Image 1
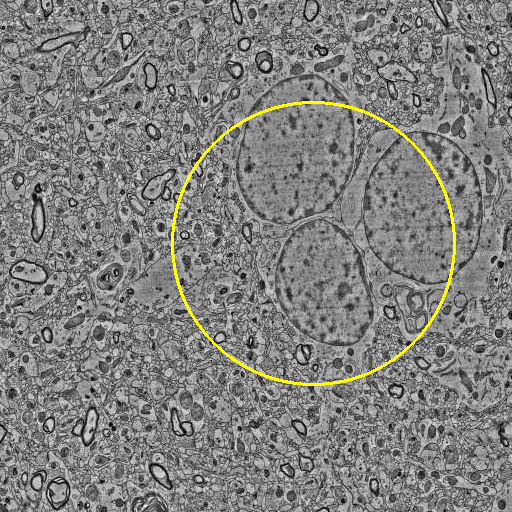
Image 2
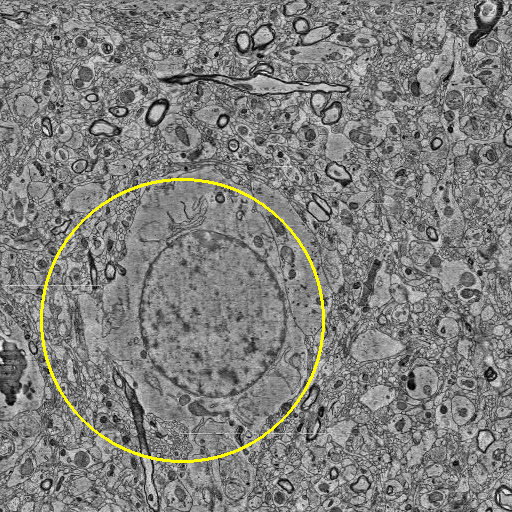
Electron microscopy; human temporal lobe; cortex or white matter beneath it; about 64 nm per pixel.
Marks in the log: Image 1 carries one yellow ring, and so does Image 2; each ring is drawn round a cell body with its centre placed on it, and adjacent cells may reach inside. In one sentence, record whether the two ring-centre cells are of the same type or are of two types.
The two cells at the ring centres, one in each image, are of the same type.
